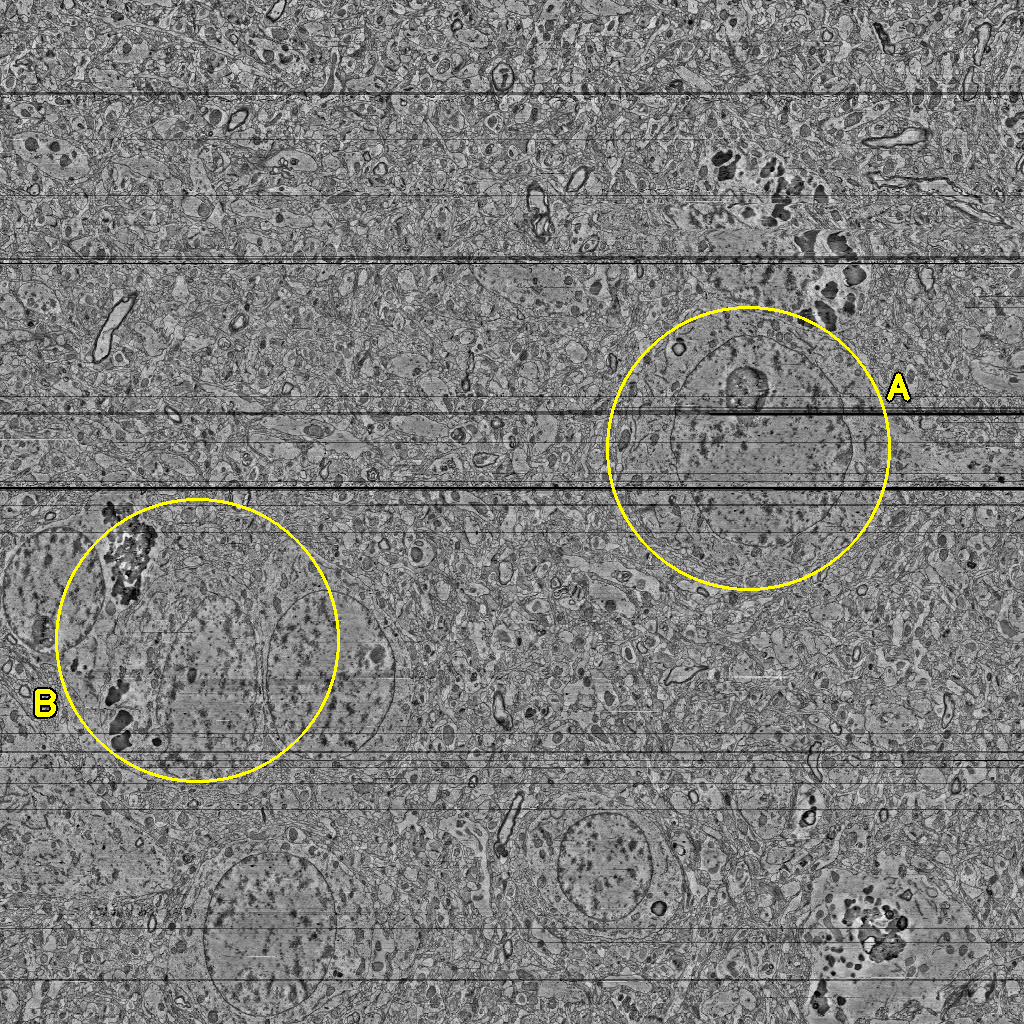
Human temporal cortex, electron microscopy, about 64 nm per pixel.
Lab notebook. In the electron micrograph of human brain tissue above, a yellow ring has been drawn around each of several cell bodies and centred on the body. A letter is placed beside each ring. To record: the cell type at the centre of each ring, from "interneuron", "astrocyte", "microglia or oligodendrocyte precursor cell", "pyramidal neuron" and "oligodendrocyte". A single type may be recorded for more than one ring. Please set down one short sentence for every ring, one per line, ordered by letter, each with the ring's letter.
The centre of ring A is occupied by a pyramidal neuron.
The centre of ring B is occupied by an interneuron.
